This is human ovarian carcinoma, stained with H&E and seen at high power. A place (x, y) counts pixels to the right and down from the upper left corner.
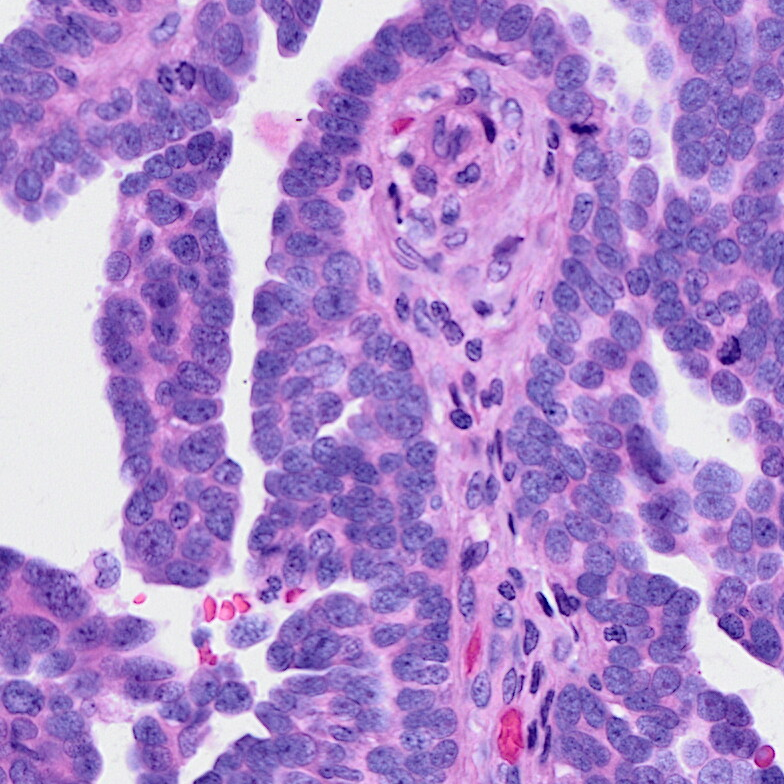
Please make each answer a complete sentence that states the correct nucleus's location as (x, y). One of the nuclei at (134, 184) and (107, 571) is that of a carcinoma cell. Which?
That would be the nucleus at (134, 184); it belongs to a carcinoma cell.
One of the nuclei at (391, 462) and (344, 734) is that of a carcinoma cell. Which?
Of these two nuclei, only the one at (391, 462) belongs to a carcinoma cell.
